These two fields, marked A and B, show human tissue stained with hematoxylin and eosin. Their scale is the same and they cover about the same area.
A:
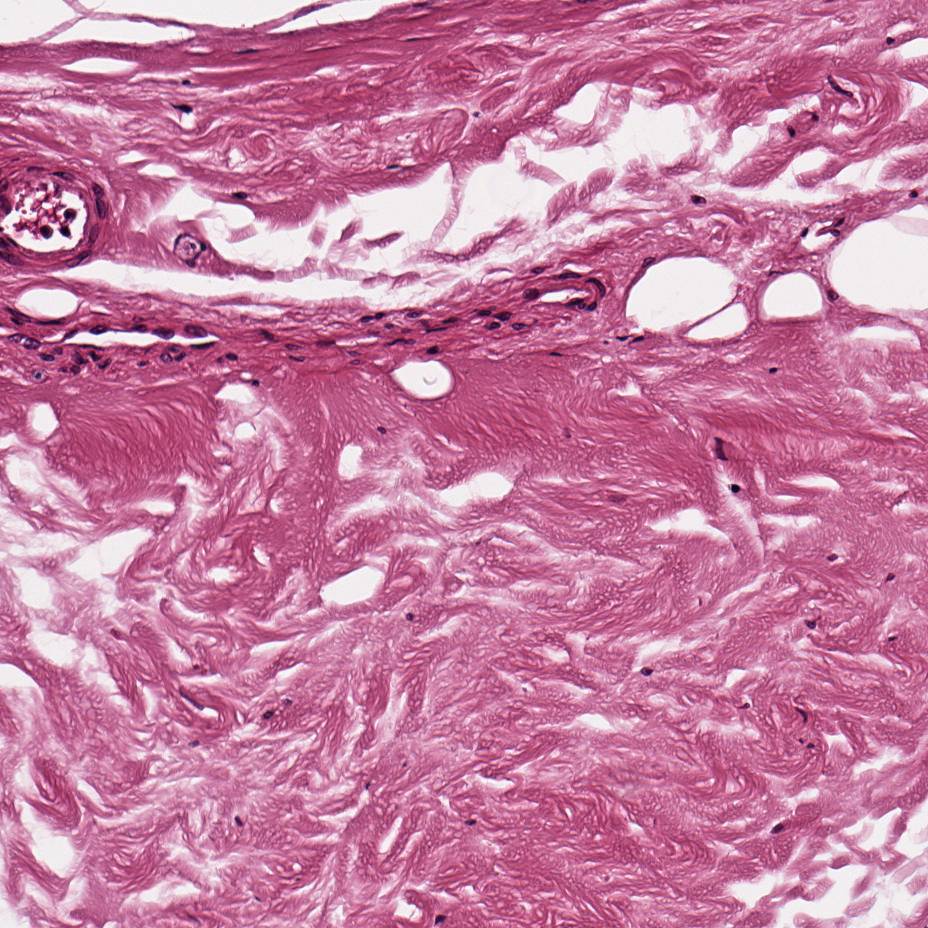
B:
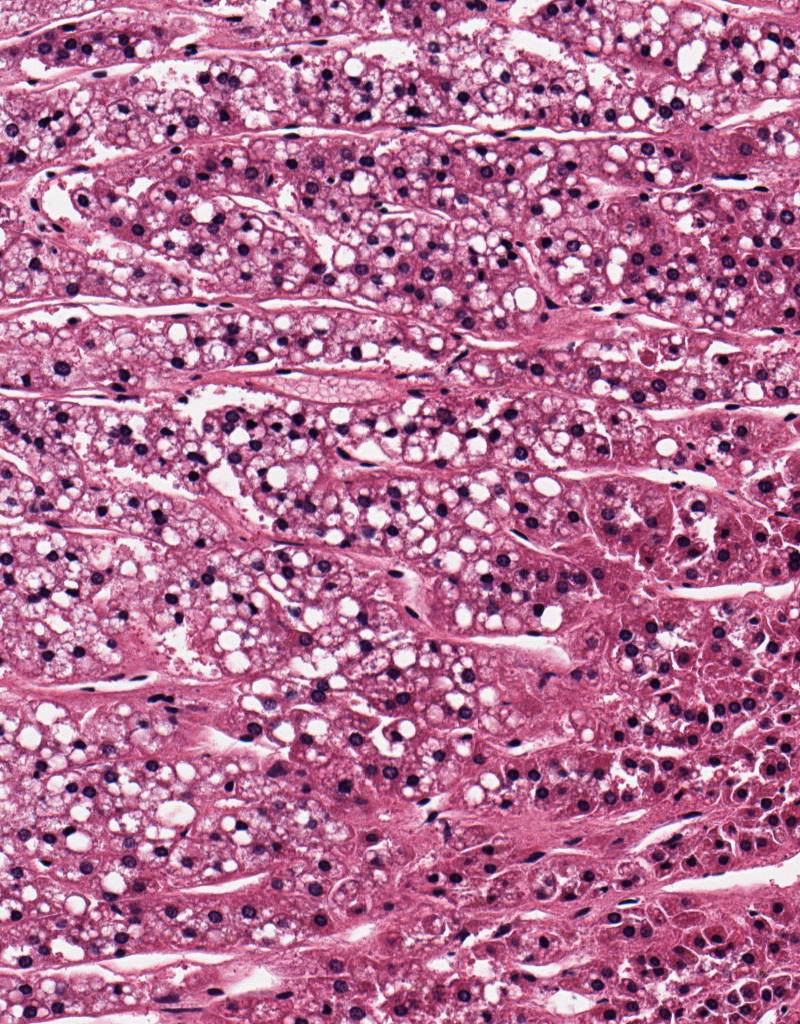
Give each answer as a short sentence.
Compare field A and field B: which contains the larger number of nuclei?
There are more nuclei in field B.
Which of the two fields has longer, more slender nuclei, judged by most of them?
It is field A whose nuclei are the more elongated.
